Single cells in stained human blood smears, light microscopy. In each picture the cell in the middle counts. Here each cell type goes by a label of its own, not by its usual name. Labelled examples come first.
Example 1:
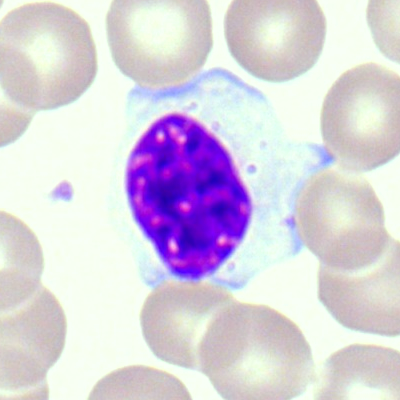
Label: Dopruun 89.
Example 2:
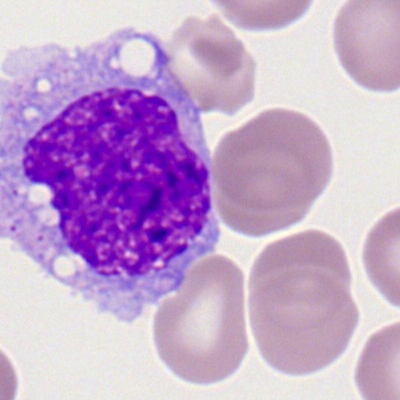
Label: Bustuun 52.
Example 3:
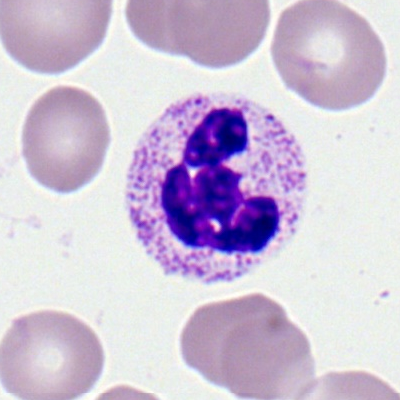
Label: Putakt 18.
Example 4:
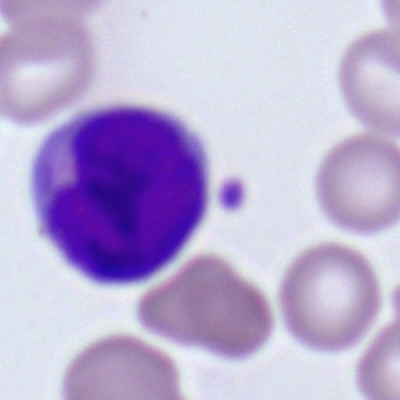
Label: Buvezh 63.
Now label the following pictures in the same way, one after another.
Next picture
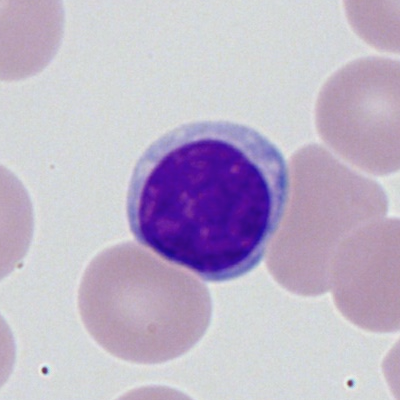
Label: Dopruun 89.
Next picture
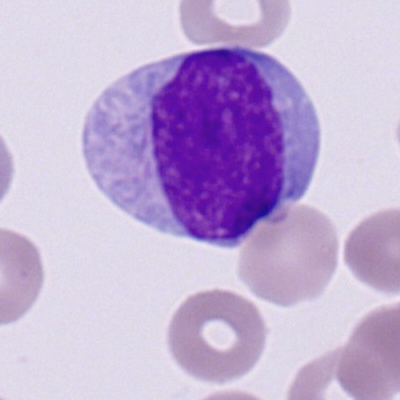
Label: Buvezh 63.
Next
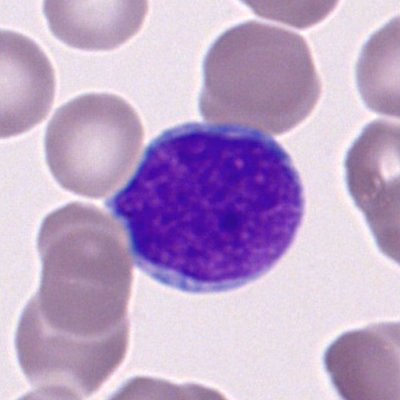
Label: Buvezh 63.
